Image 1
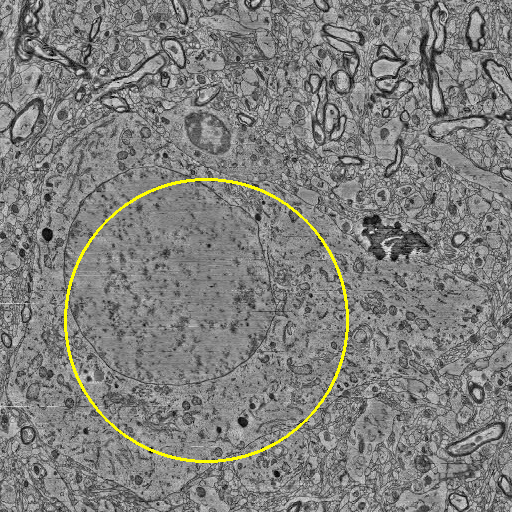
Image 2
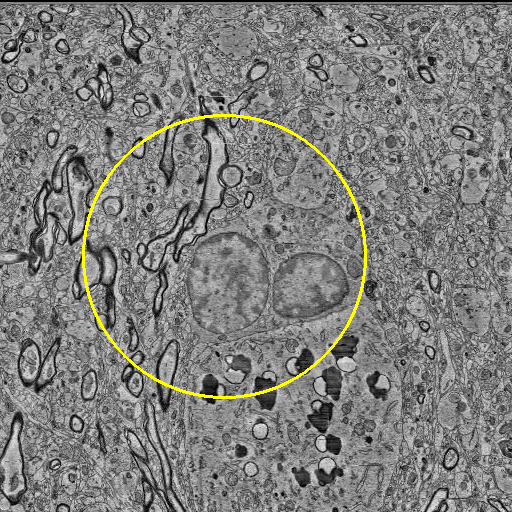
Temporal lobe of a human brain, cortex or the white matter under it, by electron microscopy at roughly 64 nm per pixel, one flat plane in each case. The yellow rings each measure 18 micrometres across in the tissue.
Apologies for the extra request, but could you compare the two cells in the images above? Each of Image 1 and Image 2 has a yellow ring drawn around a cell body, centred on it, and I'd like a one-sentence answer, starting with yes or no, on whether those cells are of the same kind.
No, the two cells are of two kinds.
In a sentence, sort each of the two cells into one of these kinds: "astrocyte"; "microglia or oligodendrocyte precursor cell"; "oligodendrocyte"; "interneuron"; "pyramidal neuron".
The first of the two cells is a pyramidal neuron, and the second is an oligodendrocyte.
